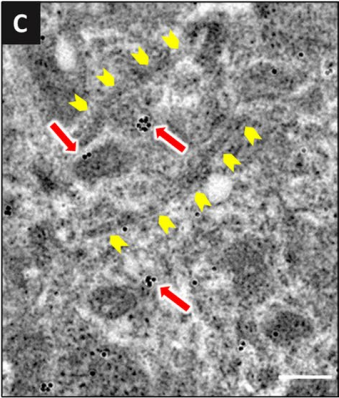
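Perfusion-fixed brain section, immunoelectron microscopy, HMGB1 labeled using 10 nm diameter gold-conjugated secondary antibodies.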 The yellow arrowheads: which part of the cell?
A: plasma membranes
